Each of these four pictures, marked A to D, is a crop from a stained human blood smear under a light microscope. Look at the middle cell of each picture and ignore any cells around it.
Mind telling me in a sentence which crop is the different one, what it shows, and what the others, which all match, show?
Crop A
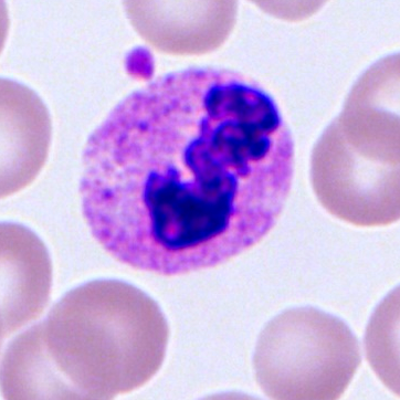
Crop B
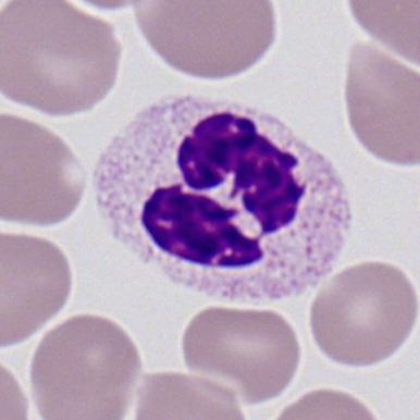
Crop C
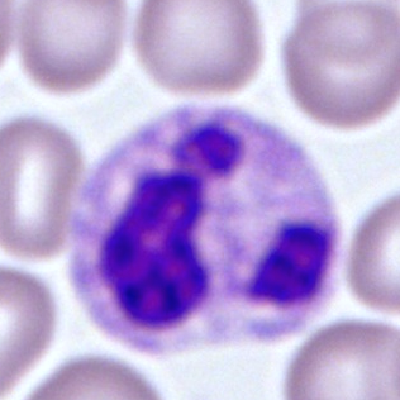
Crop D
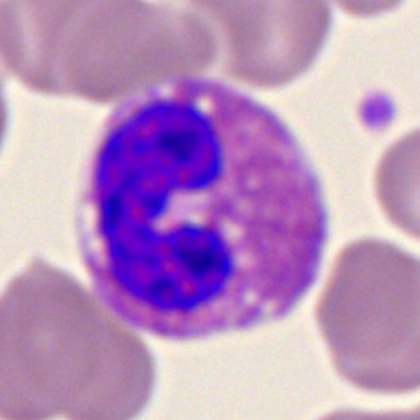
Crop D does not fit, being an eosinophil where all the others show segmented neutrophils.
